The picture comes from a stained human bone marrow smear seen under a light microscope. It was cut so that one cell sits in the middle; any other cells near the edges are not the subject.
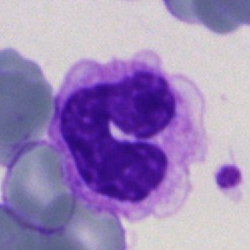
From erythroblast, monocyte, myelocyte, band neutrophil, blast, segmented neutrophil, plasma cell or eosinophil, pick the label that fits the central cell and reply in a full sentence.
In the middle of this smear crop, the cell is a band neutrophil.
